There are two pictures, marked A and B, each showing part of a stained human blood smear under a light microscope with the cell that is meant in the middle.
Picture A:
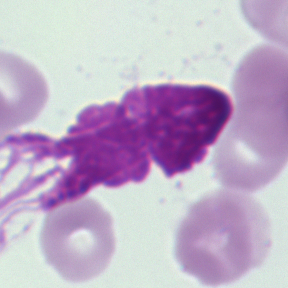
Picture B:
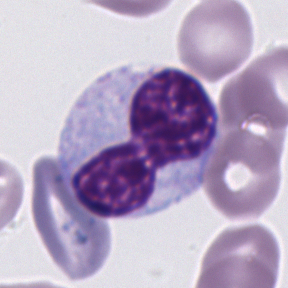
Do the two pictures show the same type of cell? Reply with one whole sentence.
No, the types are not the same, since picture A shows a smudge cell and picture B a band neutrophil.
